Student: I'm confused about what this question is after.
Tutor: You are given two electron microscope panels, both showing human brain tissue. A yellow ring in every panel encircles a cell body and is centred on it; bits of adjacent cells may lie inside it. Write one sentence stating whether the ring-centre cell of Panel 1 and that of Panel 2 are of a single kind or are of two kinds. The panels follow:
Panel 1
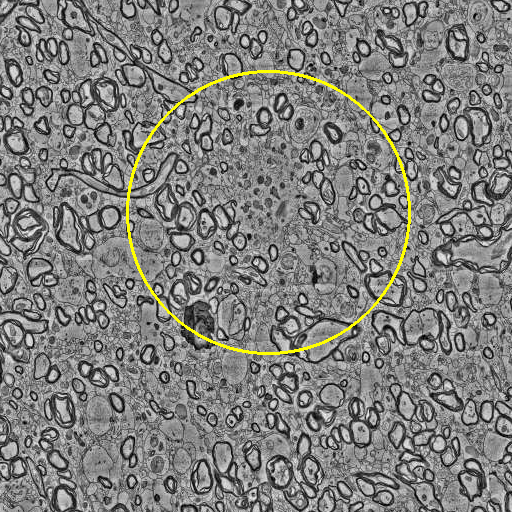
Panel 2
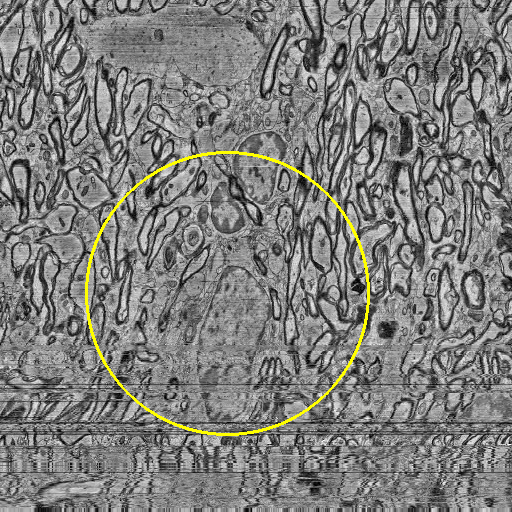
Here, the Panel 1 ring-centre cell and the Panel 2 ring-centre cell are of two kinds.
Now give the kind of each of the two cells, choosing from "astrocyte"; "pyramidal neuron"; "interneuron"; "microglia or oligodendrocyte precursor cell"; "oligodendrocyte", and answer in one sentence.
The cell in the first picture is an oligodendrocyte, and the cell in the second is a microglial cell or oligodendrocyte precursor cell.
